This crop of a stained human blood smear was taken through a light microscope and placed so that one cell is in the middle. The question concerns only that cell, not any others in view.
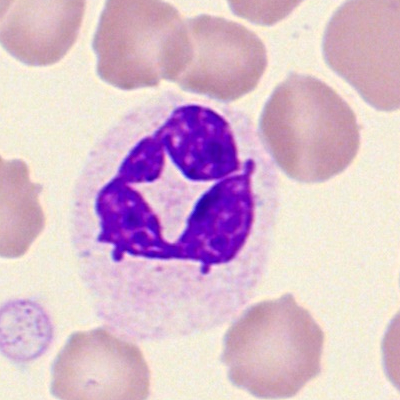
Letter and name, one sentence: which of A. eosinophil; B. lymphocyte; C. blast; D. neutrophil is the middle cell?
Option D is the right one, for the cell in the middle is a neutrophil.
